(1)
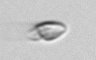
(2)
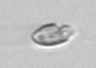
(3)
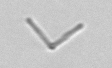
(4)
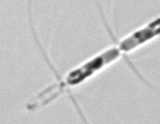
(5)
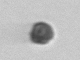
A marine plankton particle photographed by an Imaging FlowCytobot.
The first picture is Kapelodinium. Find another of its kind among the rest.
Picture 2.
